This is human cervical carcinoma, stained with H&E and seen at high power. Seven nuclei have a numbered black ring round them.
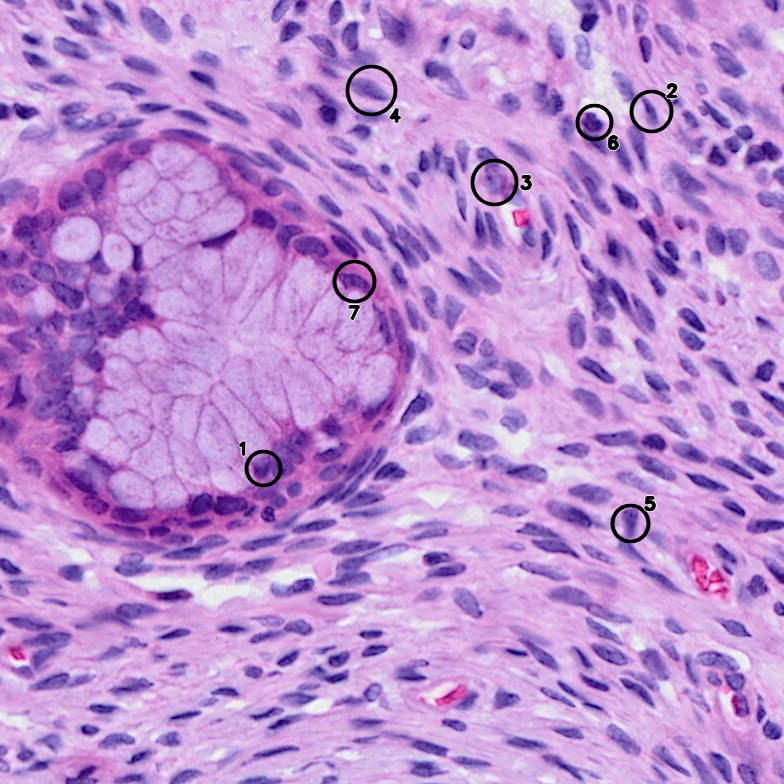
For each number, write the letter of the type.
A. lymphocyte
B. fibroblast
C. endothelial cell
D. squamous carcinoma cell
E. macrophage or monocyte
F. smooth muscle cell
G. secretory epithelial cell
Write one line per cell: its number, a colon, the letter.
1: G
2: B
3: C
4: B
5: B
6: A
7: G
